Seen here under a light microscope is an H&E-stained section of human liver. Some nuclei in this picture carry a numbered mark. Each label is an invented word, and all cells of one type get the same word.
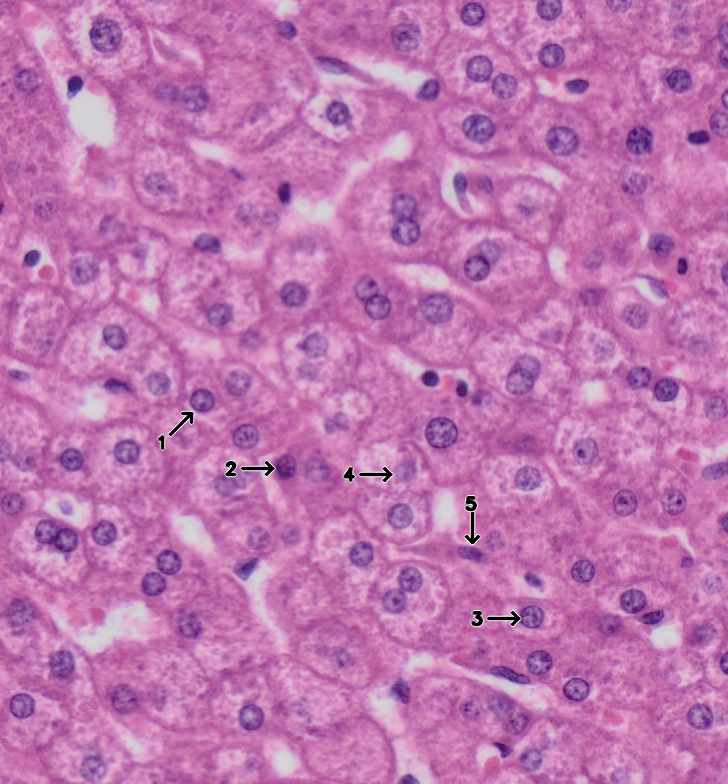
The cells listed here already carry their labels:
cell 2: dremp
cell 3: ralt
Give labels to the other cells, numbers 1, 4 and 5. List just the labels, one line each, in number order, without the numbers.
ralt
ralt
dremp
